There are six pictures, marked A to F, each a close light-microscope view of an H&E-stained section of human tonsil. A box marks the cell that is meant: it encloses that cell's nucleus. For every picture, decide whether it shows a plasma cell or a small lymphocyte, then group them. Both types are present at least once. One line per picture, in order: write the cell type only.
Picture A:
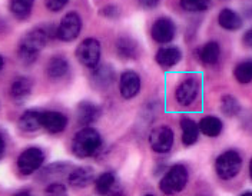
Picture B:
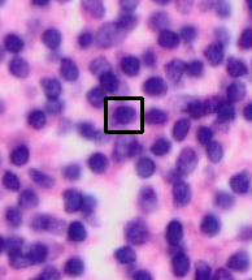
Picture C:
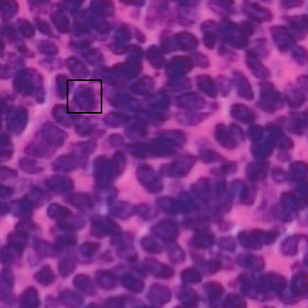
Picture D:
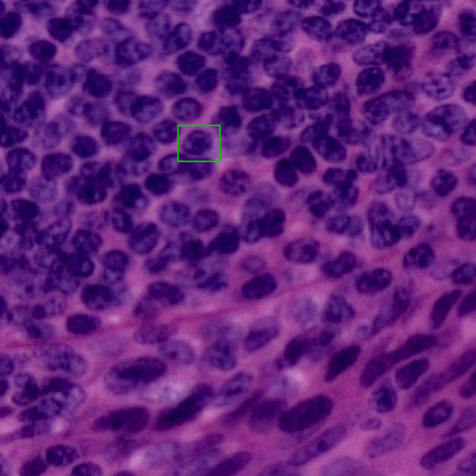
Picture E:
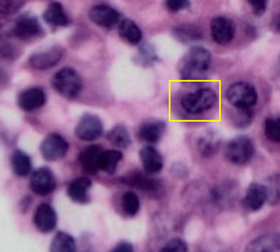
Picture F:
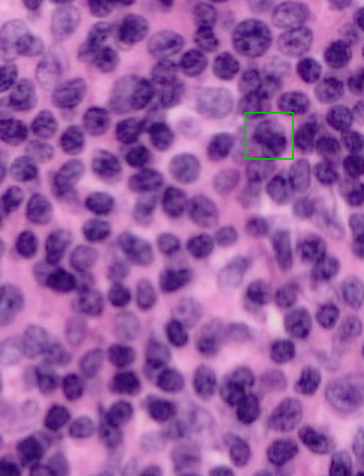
plasma cell
small lymphocyte
small lymphocyte
small lymphocyte
plasma cell
small lymphocyte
